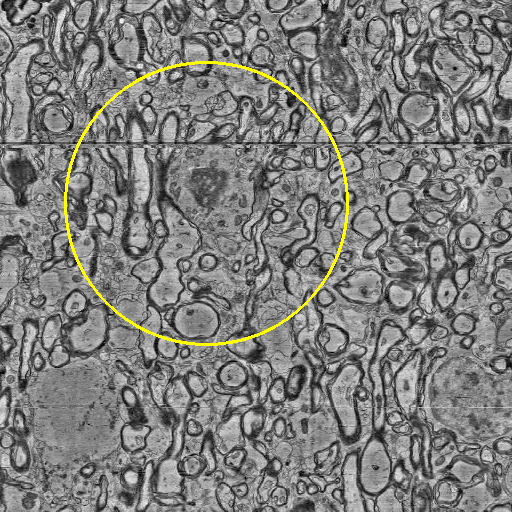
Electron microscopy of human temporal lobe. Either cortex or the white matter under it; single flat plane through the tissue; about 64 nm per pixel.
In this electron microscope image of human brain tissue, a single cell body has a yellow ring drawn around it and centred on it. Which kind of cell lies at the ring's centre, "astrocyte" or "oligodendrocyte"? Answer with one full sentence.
It is an oligodendrocyte whose cell body lies at the centre of the yellow ring here.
